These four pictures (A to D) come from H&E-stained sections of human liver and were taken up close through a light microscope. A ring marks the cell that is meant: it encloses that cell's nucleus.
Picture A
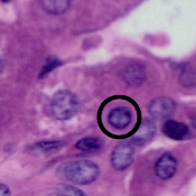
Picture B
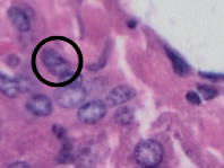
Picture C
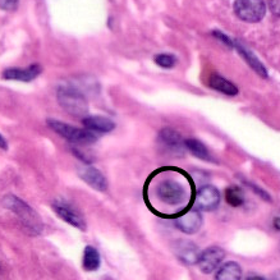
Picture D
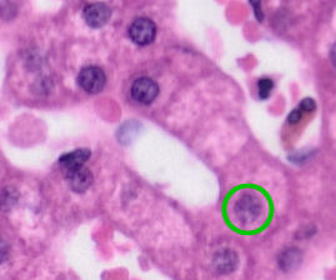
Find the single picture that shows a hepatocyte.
D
